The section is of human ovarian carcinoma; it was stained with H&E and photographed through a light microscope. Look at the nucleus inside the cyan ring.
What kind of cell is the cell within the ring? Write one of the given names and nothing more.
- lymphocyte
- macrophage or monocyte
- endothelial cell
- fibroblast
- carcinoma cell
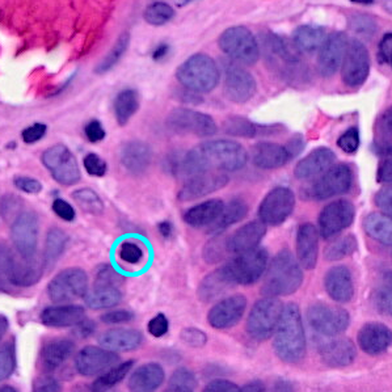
lymphocyte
